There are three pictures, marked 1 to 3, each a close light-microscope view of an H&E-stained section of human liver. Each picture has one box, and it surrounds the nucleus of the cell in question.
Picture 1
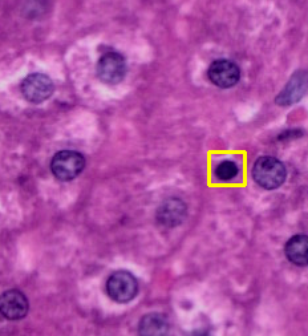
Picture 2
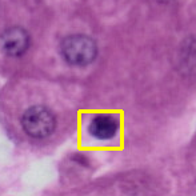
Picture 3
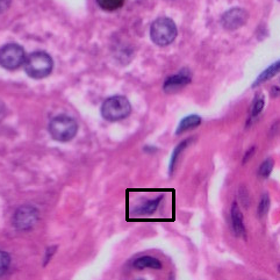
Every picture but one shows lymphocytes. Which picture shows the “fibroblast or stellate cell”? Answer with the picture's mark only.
3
